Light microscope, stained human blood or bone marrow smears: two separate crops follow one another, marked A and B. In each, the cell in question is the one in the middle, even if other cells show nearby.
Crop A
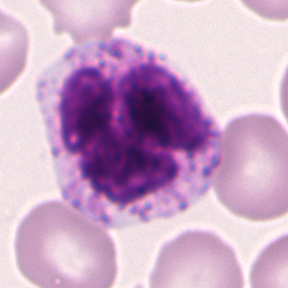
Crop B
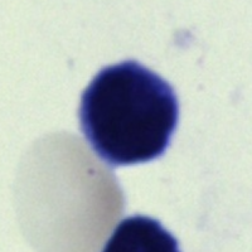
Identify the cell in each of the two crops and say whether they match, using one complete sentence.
No, crop A carries a basophil and crop B carries a lymphocyte.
